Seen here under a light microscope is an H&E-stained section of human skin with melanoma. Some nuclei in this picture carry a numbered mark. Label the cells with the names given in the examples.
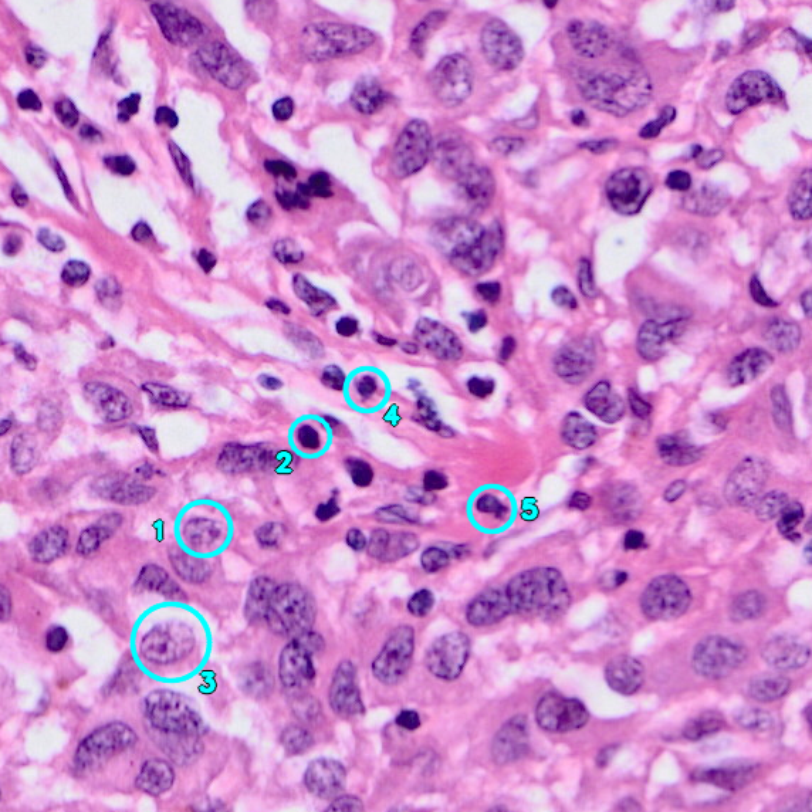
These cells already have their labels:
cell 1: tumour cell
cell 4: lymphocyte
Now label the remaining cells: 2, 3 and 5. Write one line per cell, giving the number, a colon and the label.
2: lymphocyte
3: tumour cell
5: lymphocyte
